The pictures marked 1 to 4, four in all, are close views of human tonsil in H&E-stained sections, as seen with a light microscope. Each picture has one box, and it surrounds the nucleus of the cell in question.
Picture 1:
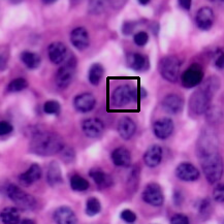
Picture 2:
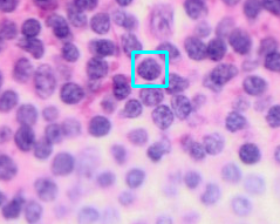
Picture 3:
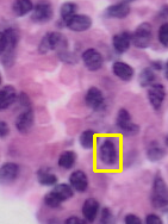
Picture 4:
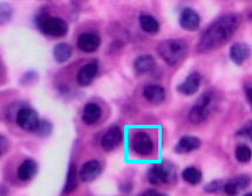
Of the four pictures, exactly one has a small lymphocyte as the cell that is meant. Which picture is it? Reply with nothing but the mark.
2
